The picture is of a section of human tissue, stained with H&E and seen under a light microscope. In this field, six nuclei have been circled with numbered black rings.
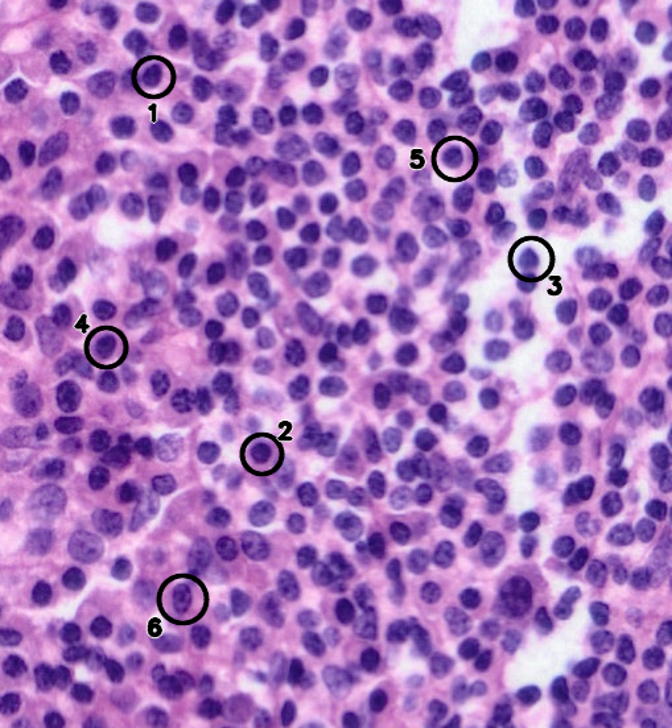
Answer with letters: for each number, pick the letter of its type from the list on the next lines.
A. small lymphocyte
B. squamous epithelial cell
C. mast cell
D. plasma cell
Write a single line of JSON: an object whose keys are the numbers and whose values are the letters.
{"1": "D", "2": "D", "3": "A", "4": "D", "5": "A", "6": "D"}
